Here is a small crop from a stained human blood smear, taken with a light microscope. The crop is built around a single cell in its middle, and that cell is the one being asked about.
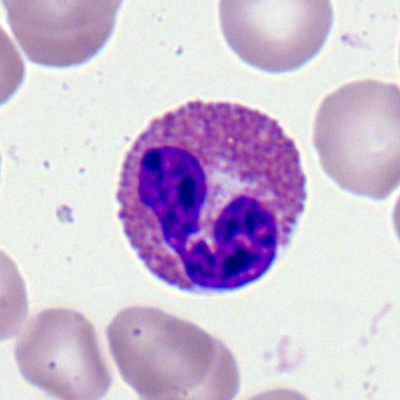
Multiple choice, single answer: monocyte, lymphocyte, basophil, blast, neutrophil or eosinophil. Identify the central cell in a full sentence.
The cell in the middle of this crop is an eosinophil.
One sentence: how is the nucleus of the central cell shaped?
You can count two or more lobes in this nucleus.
